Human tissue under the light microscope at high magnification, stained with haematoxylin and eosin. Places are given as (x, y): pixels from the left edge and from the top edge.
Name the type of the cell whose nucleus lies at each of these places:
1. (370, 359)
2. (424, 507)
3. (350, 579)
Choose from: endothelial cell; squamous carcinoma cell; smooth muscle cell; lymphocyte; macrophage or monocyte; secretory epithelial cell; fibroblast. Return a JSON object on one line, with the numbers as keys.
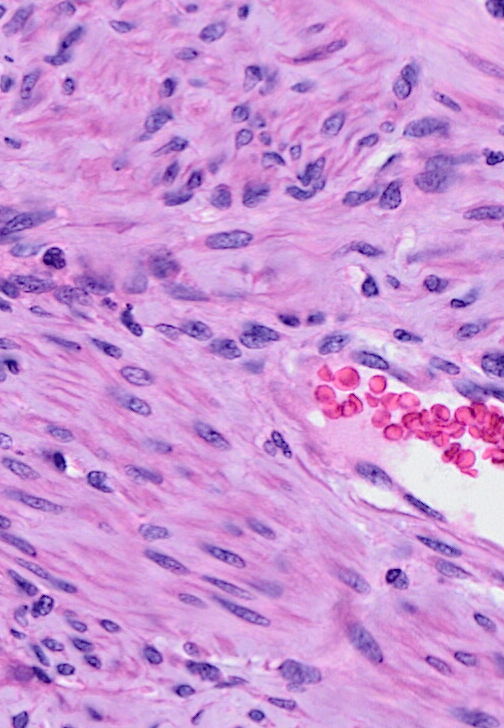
{"1": "endothelial cell", "2": "endothelial cell", "3": "smooth muscle cell"}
